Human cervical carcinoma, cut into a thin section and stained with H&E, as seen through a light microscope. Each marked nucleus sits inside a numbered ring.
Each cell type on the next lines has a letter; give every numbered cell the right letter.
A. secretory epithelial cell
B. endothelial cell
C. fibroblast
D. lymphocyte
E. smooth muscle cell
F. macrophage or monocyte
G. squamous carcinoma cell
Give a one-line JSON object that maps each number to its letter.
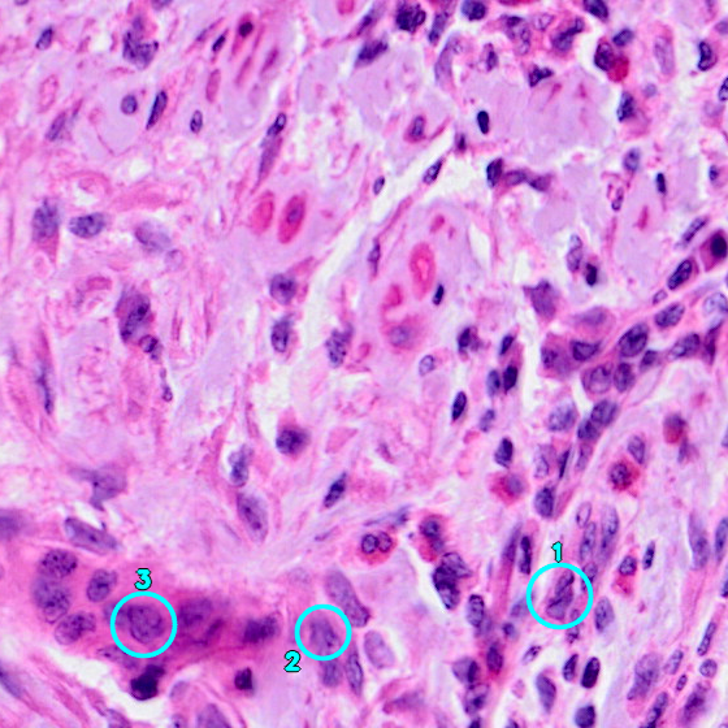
{"1": "B", "2": "B", "3": "G"}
